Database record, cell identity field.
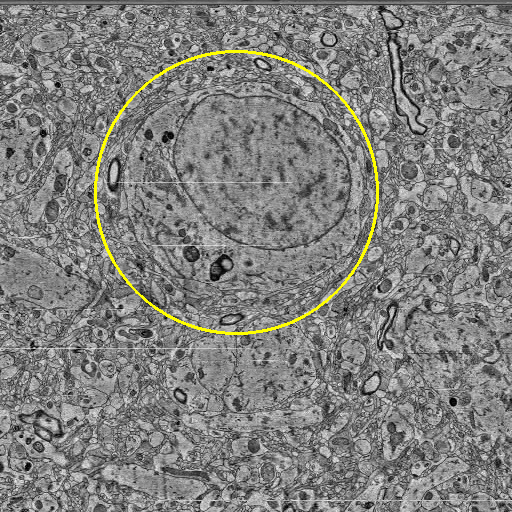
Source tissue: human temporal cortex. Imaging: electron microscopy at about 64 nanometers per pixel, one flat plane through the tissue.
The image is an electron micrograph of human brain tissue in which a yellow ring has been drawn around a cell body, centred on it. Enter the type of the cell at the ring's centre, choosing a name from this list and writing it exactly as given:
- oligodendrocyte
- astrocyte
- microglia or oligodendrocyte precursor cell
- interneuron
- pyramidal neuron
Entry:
pyramidal neuron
